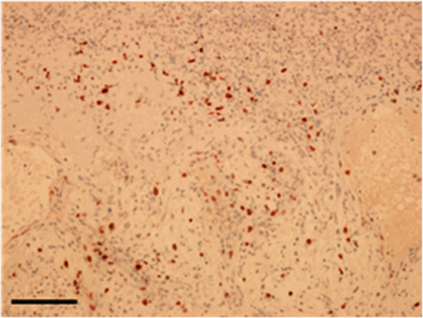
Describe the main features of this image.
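Many nuclei are stained dark brown and are scattered unevenly through the field, while the remaining nuclei are blue and ovoid to spindle-shaped. The cells lie loosely without forming clear layers, and pale, acellular rounded areas appear at the edges of the field.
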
